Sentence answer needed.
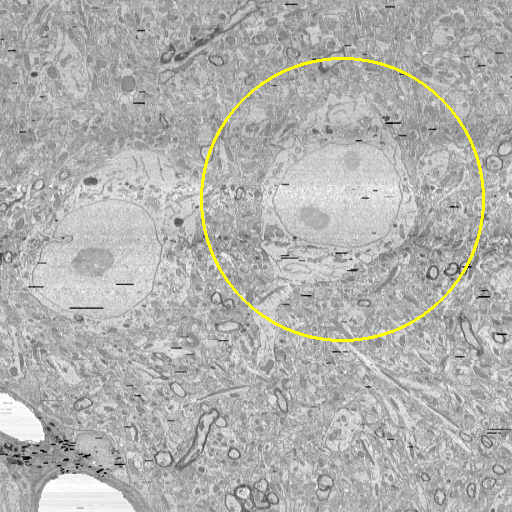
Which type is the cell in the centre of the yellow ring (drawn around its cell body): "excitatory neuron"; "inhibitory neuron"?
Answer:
In the centre of the yellow ring is an excitatory neuron.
